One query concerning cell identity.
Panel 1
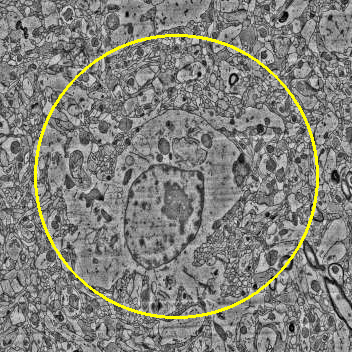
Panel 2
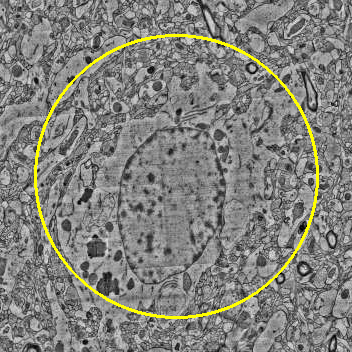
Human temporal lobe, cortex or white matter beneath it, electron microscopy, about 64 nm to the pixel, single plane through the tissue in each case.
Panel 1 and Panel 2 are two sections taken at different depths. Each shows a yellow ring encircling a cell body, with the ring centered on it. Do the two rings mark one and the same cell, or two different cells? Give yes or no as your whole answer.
yes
